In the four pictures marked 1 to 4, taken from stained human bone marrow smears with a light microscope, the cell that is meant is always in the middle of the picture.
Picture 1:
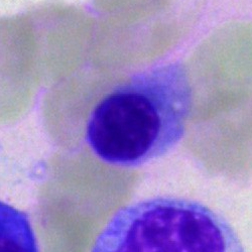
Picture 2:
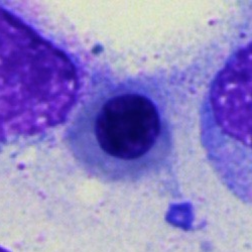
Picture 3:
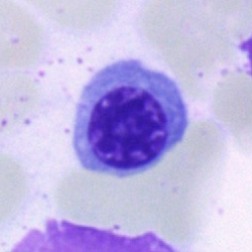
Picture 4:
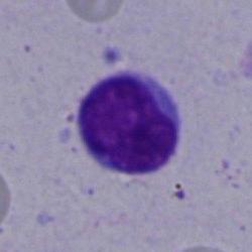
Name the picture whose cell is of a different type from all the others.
4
